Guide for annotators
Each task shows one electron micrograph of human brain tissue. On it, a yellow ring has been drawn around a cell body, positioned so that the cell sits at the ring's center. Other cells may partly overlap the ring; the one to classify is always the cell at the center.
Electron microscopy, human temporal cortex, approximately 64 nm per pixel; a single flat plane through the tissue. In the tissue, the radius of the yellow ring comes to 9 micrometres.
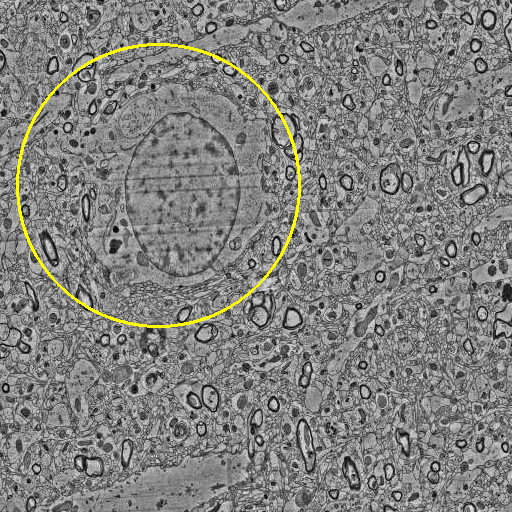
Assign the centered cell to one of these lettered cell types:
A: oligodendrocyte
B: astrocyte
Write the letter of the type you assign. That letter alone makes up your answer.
B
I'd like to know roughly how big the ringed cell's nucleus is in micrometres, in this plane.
In this plane the nucleus spans approximately 10 by 7 micrometers.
